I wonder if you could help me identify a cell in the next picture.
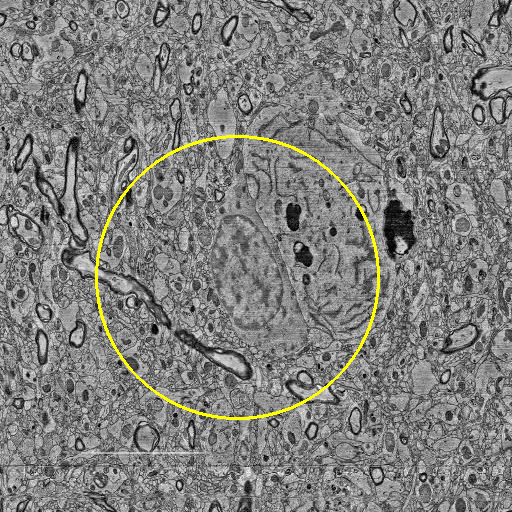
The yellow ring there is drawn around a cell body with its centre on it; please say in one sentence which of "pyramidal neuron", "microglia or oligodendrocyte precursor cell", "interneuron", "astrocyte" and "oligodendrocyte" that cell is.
The yellow ring is centred on an oligodendrocyte.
